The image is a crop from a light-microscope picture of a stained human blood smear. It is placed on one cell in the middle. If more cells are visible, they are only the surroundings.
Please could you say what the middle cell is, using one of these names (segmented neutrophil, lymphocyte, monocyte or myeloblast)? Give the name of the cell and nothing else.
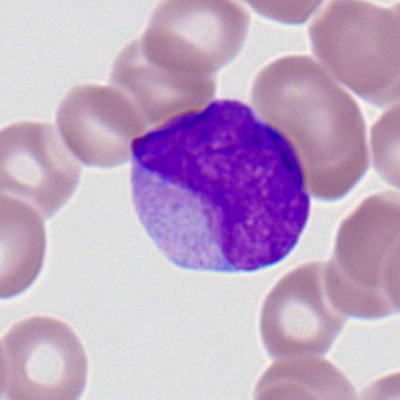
myeloblast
